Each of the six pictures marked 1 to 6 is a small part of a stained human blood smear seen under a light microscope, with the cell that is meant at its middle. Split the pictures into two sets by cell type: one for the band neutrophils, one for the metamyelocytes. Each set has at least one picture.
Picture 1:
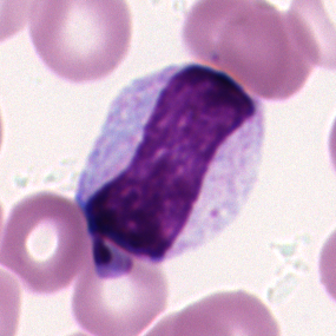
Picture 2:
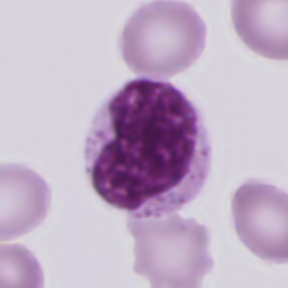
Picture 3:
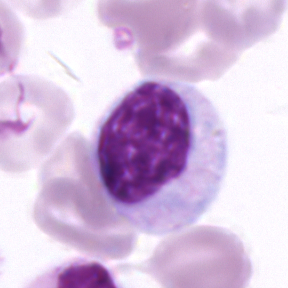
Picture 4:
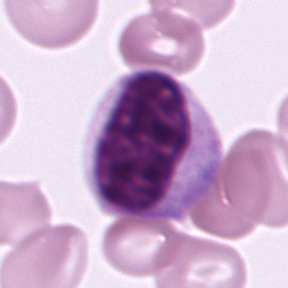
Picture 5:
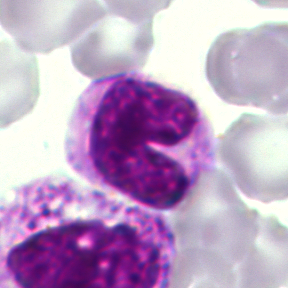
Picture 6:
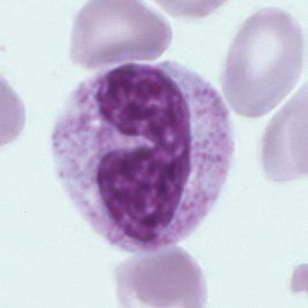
1: band neutrophil
2: metamyelocyte
3: metamyelocyte
4: metamyelocyte
5: band neutrophil
6: band neutrophil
